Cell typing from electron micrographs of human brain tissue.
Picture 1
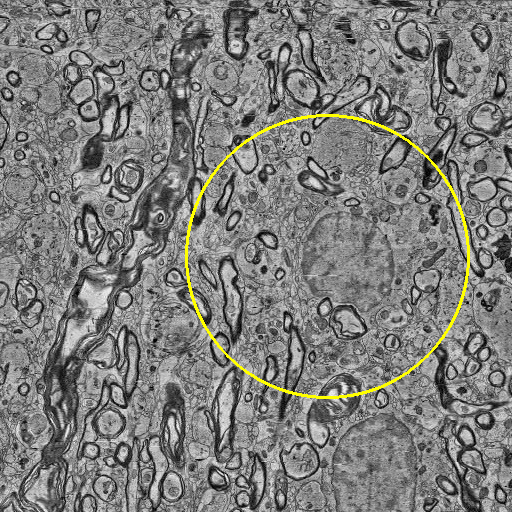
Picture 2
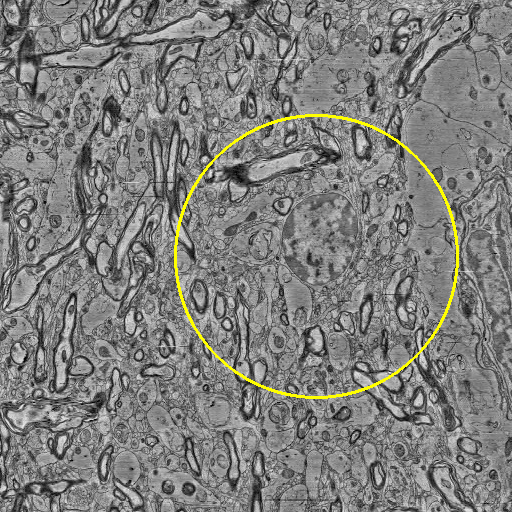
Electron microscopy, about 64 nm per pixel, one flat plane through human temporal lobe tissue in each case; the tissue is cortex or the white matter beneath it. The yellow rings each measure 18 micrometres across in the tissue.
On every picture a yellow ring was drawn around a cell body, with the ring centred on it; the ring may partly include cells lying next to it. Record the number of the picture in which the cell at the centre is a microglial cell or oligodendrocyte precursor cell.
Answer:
2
